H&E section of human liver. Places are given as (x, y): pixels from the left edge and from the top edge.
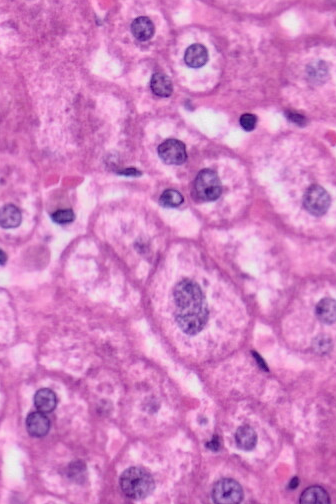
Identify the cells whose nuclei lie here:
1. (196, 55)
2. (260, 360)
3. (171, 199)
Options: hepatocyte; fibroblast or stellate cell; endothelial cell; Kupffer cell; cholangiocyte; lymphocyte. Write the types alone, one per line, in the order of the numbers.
hepatocyte
endothelial cell
Kupffer cell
